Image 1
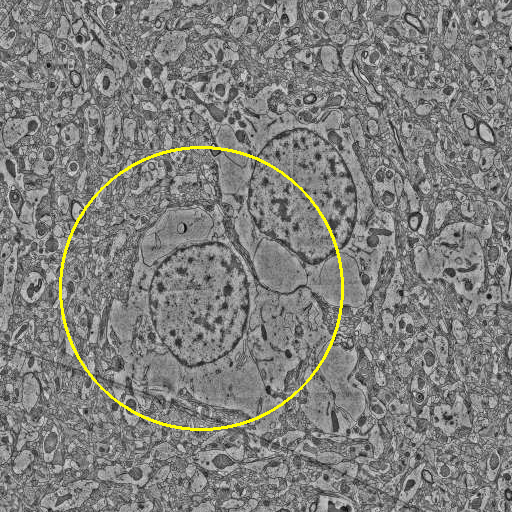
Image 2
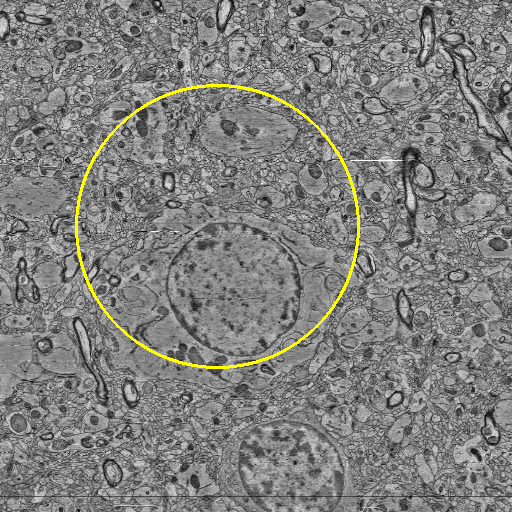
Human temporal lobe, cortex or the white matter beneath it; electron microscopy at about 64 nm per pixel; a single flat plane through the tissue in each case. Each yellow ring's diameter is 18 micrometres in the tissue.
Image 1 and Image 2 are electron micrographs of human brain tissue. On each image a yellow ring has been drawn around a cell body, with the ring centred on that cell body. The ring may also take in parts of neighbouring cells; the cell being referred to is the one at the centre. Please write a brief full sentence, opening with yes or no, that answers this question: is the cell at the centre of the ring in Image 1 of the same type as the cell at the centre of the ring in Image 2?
Yes, both cells are of the same type.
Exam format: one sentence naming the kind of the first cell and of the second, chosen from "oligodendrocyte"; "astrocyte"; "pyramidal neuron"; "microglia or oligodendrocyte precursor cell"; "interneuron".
In the first picture and in the second, the ring is centred on an astrocyte.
